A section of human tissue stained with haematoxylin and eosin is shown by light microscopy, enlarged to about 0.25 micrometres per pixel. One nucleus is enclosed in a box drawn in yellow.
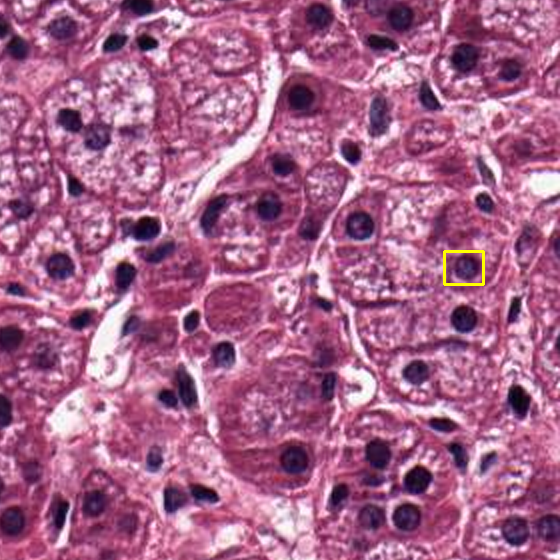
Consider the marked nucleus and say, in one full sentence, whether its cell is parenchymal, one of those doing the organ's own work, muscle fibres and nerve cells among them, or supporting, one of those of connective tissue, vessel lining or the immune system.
It is to an adrenal cortical cell, a parenchymal cell, that the marked nucleus belongs.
